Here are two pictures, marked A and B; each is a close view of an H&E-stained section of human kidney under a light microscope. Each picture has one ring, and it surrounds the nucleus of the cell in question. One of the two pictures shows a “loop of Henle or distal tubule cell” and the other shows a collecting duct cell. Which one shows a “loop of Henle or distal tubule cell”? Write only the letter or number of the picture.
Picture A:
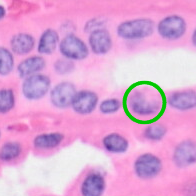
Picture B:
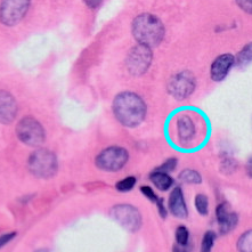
B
